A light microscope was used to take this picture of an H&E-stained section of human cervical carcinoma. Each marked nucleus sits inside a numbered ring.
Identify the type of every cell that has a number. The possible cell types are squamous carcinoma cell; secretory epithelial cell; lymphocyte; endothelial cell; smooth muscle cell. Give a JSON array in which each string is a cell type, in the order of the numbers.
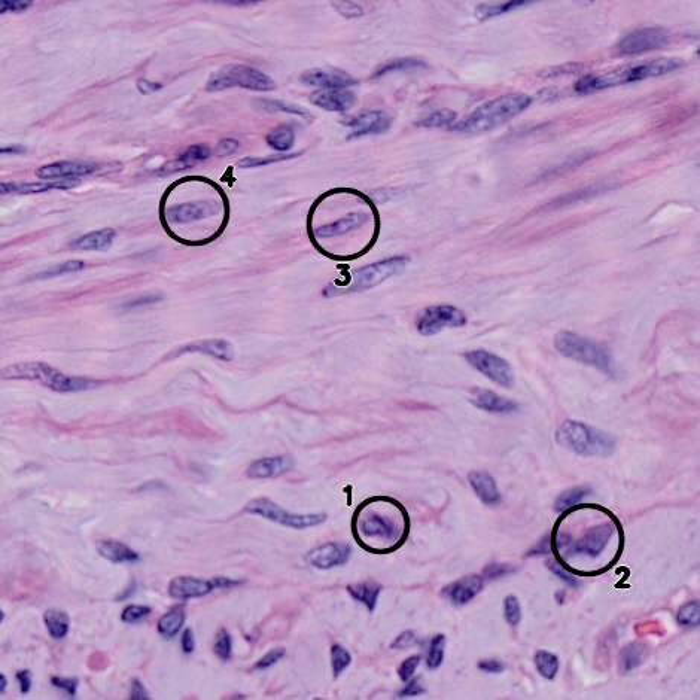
["smooth muscle cell", "endothelial cell", "smooth muscle cell", "smooth muscle cell"]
